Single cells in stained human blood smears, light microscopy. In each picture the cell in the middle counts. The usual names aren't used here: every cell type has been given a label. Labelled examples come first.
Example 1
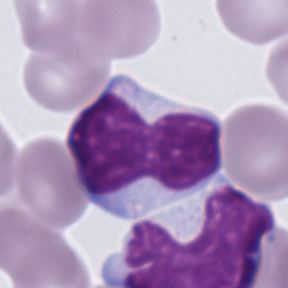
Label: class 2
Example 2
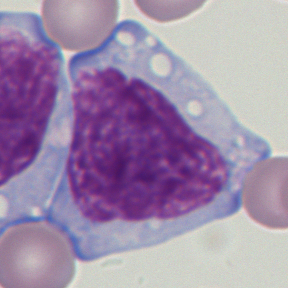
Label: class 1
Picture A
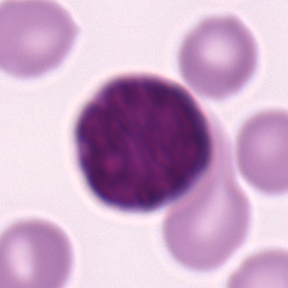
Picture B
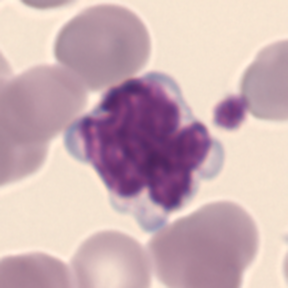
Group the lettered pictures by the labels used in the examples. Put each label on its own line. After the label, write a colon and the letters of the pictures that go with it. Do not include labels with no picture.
class 2: B
class 1: A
